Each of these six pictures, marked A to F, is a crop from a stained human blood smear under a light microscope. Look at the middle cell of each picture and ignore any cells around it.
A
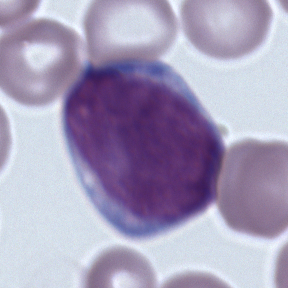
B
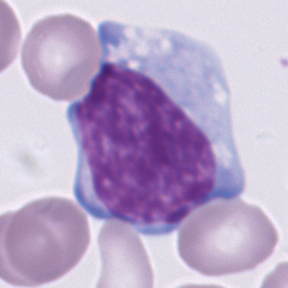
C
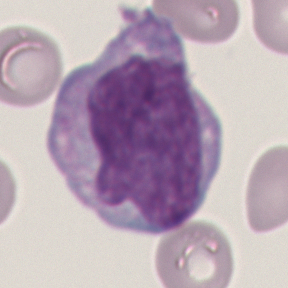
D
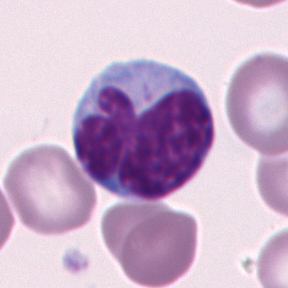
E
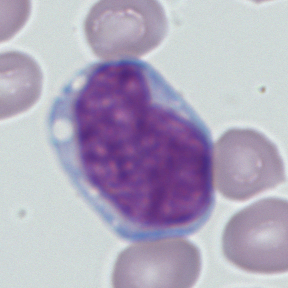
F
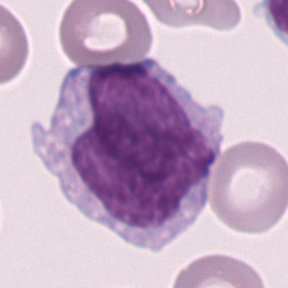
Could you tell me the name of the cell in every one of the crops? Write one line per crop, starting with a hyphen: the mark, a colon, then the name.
- A: myeloblast
- B: myeloblast
- C: atypical promyelocyte
- D: myeloblast
- E: myeloblast
- F: atypical promyelocyte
